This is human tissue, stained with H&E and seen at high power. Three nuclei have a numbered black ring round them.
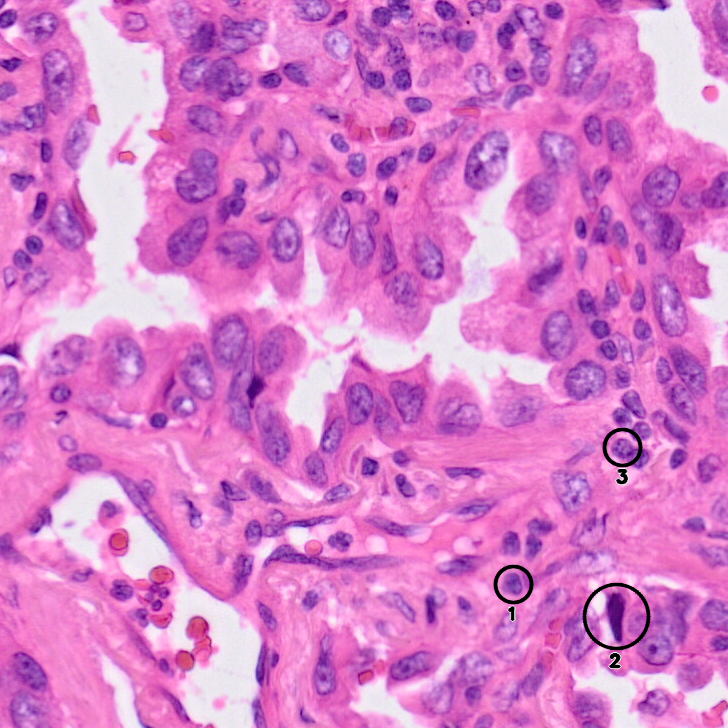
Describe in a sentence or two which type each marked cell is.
Cells 1 and 3 are lymphocytes. Cell 2 is a carcinoma cell.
